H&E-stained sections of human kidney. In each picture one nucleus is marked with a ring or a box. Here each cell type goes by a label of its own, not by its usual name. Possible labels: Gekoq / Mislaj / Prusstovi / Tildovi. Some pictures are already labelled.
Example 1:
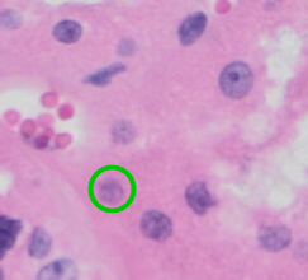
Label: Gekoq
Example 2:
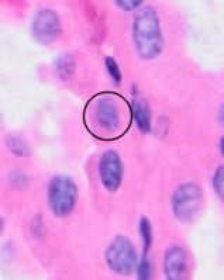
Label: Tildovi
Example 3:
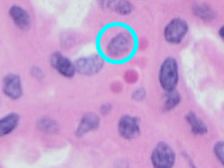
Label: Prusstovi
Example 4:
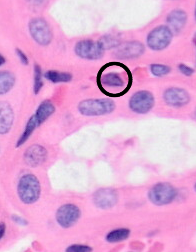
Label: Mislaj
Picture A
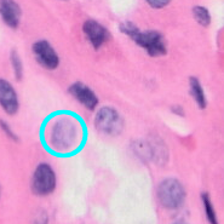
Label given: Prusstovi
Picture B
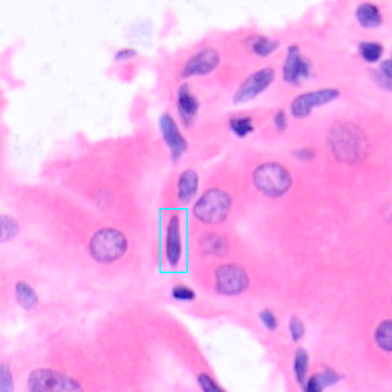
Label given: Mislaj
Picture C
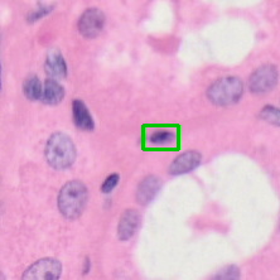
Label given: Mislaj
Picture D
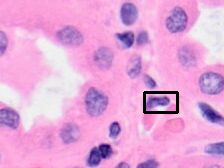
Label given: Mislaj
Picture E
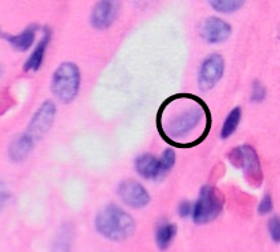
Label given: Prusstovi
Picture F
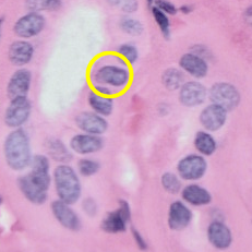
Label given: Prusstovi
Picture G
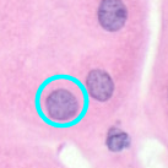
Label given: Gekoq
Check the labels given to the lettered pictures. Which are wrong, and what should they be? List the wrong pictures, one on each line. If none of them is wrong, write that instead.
None of the labels needs changing.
